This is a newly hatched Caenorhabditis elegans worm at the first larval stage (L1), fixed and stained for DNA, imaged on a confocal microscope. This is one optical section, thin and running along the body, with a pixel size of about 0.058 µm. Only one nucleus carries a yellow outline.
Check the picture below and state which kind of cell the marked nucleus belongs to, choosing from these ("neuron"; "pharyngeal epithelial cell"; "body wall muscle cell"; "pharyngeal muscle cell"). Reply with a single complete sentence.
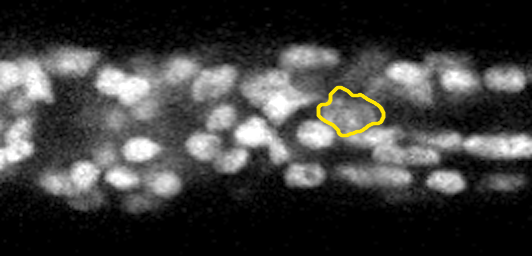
The marked cell is a pharyngeal muscle cell.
